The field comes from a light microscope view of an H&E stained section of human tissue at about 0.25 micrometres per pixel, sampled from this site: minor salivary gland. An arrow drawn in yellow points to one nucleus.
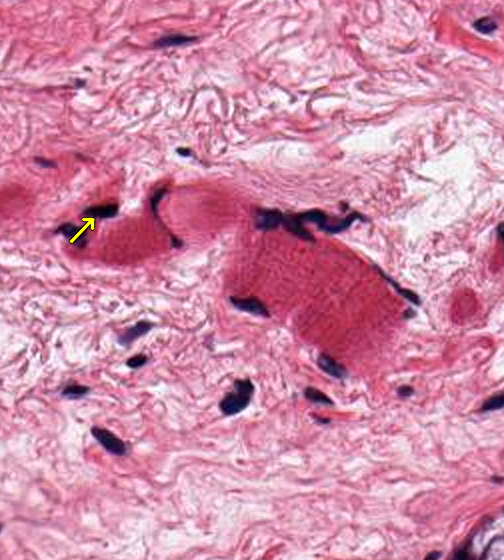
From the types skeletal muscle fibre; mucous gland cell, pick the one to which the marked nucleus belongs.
skeletal muscle fibre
